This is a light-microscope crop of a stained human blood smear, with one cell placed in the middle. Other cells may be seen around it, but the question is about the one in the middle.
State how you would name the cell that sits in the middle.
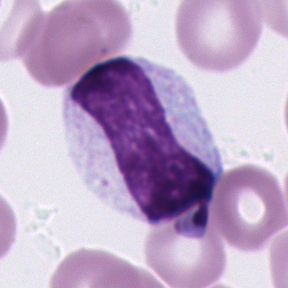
band neutrophil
